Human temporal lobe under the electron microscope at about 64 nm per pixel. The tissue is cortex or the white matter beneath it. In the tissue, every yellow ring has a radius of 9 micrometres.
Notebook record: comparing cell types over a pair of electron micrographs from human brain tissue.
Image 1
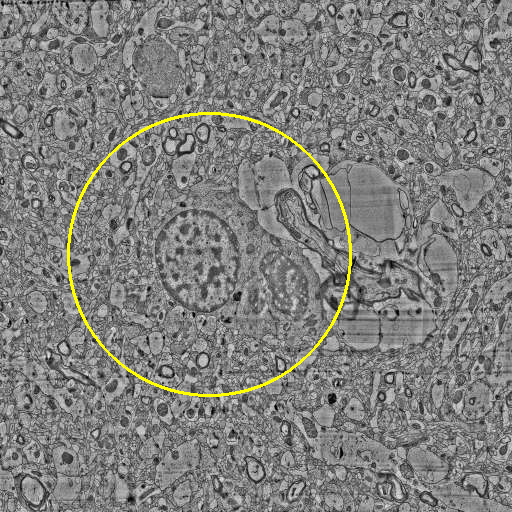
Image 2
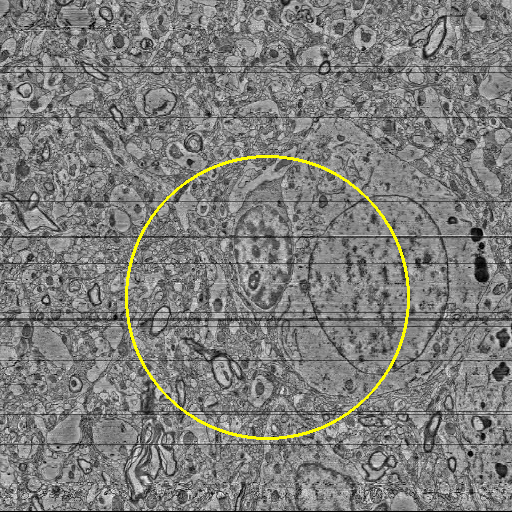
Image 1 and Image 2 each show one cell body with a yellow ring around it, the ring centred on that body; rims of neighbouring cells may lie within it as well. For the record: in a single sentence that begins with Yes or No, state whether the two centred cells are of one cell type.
Yes, one cell type is shared by the centred cells of Image 1 and Image 2.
